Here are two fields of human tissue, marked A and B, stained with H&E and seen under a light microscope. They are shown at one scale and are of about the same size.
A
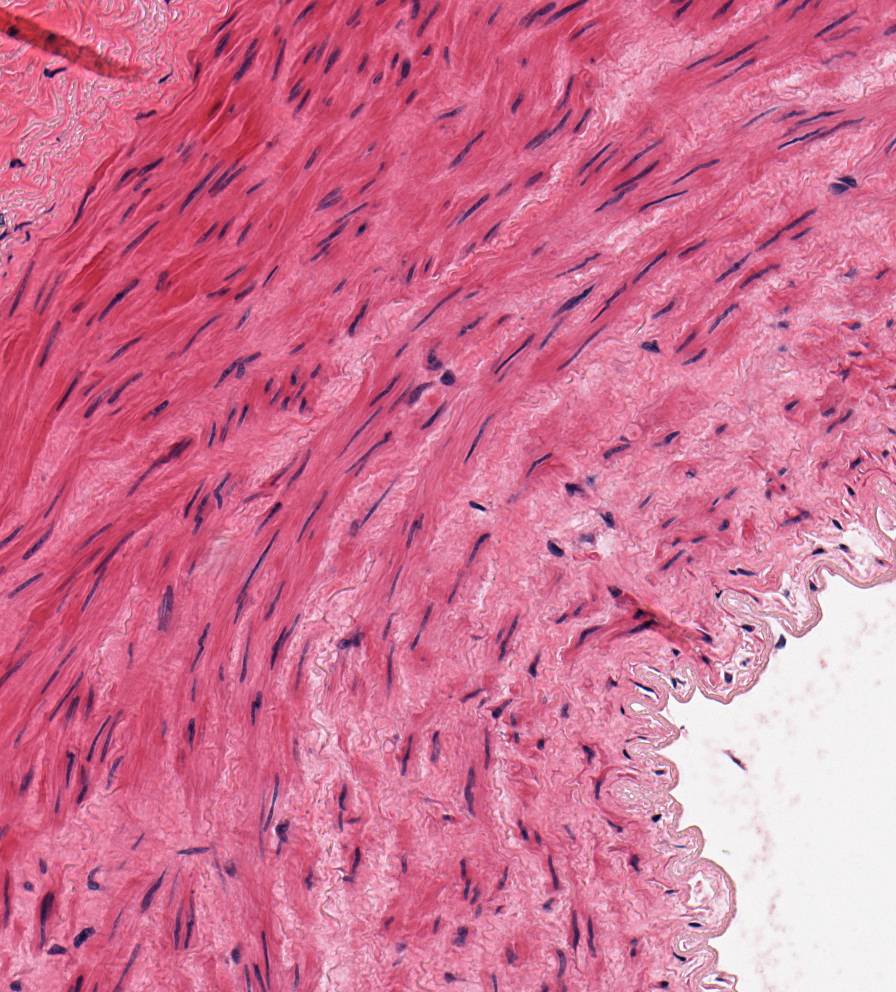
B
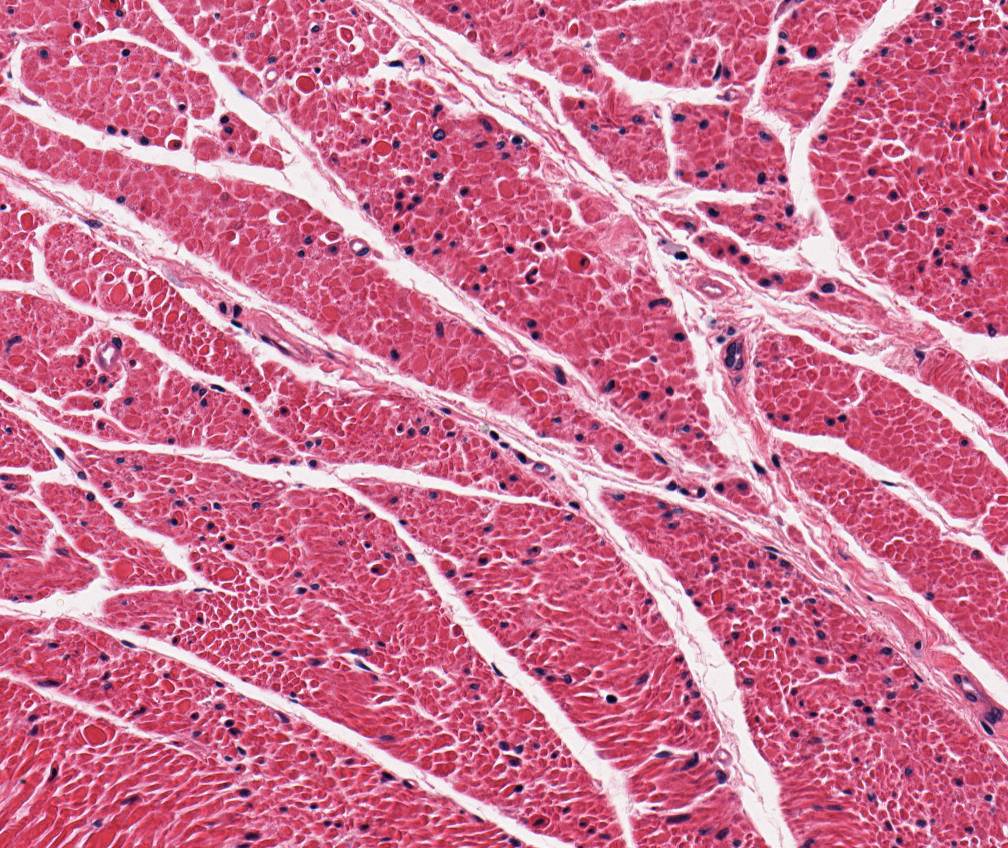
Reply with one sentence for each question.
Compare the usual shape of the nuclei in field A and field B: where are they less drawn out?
It is field B whose nuclei are the rounder.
